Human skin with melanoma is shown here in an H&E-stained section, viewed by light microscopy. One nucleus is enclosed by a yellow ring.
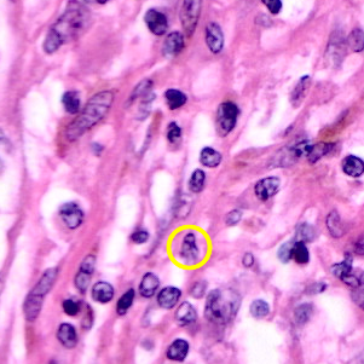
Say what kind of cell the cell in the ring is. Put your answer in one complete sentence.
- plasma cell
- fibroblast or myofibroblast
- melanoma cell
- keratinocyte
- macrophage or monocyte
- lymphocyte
As for its identity, the cell in the ring is a lymphocyte.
